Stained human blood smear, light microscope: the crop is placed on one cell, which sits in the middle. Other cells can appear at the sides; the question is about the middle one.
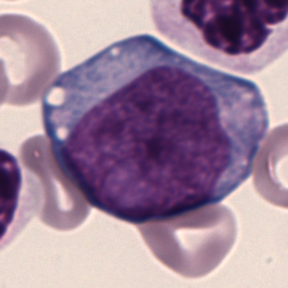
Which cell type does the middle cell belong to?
promyelocyte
